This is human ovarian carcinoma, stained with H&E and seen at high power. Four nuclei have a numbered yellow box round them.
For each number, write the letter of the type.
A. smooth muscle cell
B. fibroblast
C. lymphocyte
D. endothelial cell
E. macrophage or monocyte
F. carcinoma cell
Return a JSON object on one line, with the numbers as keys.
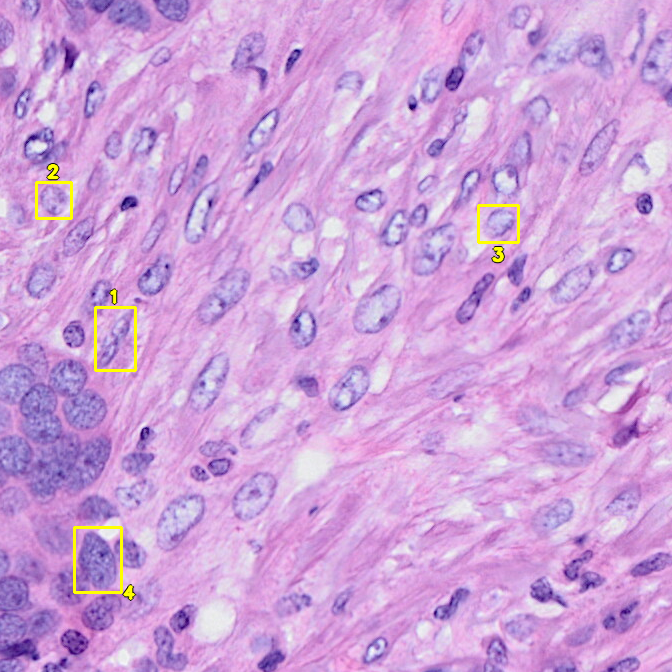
{"1": "B", "2": "B", "3": "B", "4": "F"}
